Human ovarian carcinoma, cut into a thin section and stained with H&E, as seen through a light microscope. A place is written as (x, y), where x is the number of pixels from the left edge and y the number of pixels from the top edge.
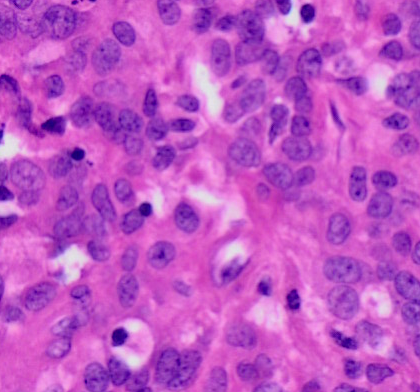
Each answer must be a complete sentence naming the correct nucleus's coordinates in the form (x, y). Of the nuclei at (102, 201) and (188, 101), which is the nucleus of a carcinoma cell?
The nucleus at (102, 201) is attributed to a carcinoma cell, unlike the other nucleus.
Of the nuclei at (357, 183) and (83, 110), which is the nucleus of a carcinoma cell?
Located at (83, 110), this nucleus is the one belonging to a carcinoma cell.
